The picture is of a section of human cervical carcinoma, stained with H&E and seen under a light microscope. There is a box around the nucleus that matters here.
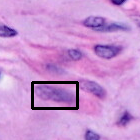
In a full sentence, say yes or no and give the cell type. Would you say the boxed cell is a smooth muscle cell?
Yes, it is a smooth muscle cell that the boxed cell represents in this section.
